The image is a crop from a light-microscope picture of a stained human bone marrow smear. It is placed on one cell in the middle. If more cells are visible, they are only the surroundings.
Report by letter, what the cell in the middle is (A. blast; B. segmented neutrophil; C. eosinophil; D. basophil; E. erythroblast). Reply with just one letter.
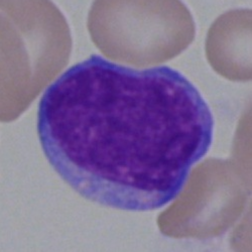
A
